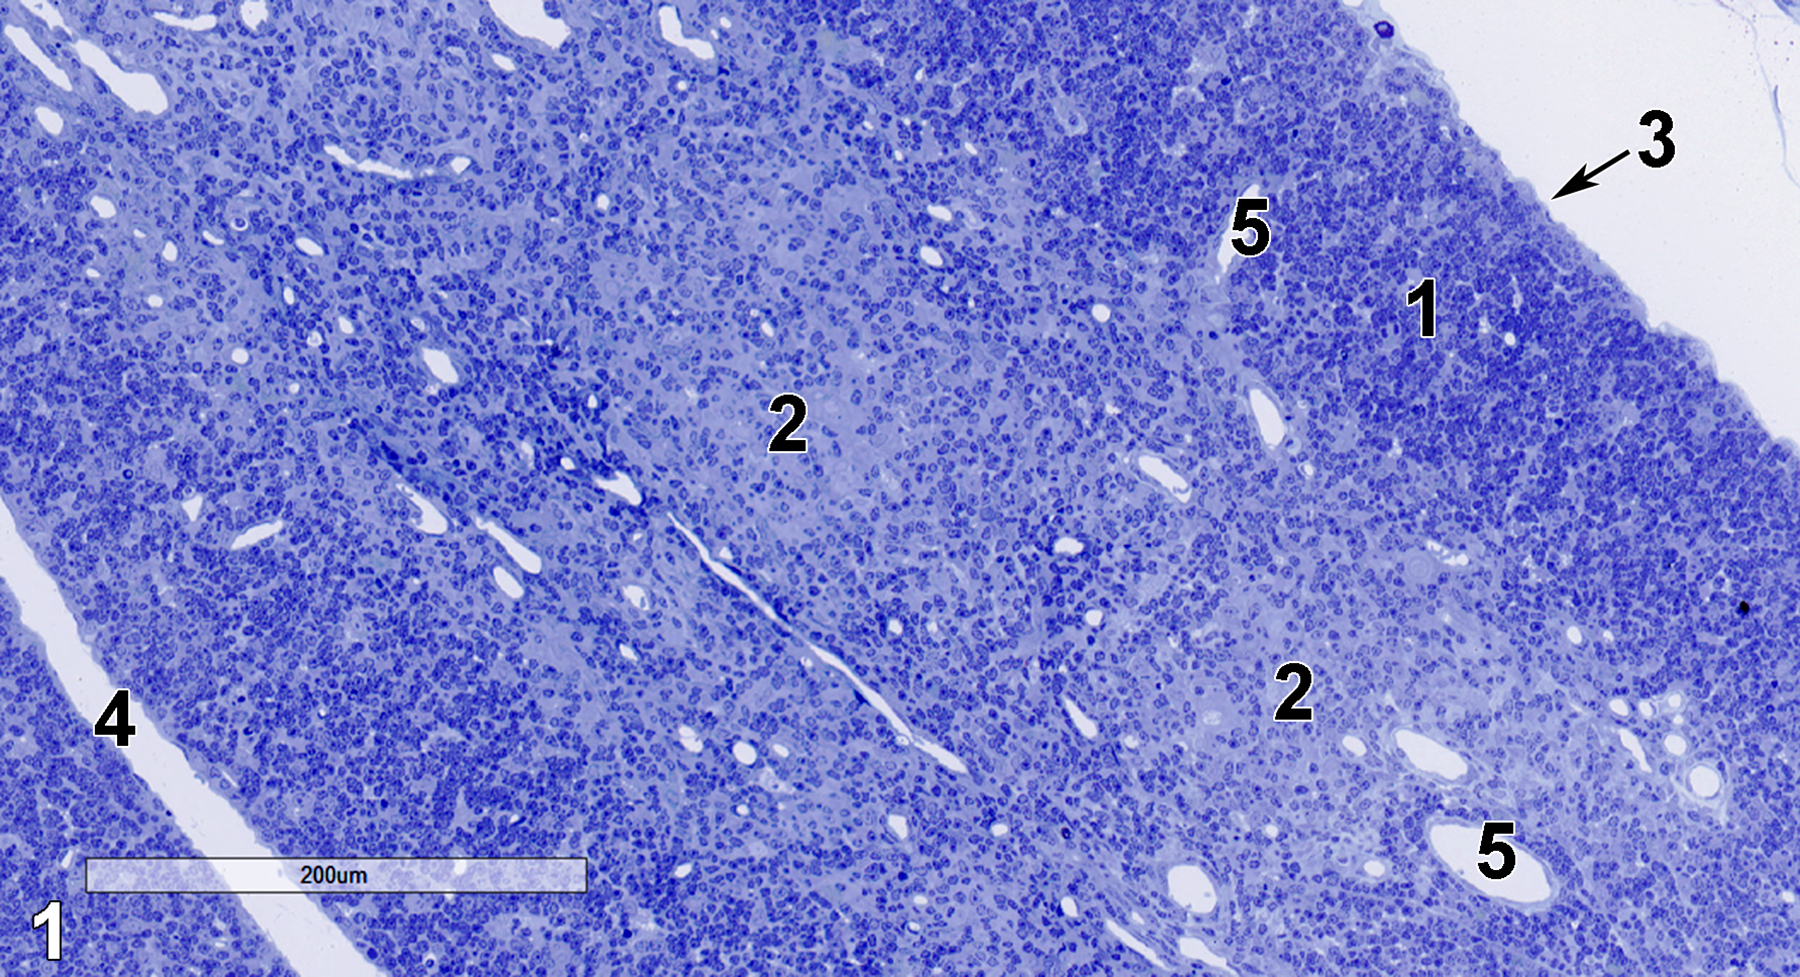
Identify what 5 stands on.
blood vessels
